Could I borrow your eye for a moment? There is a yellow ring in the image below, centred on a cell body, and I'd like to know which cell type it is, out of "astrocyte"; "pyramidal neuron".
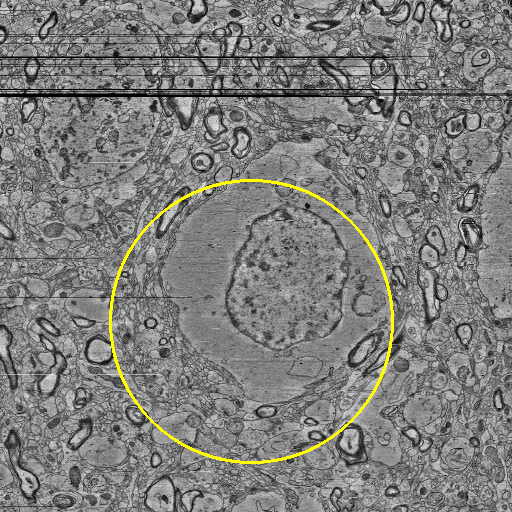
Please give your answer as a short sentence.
The cell body at the centre is that of an astrocyte.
